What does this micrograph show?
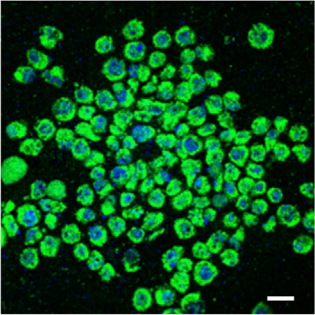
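Green staining fills the cytoplasm of nearly every cell, granular in texture and forming a broad rim around each nucleus. Blue nuclei sit roughly centrally, rounded, occupying a moderate part of each cell, so a green ring surrounds a blue core. Cells lie closely packed in the centre and more loosely at the edges of the field. One larger, brightly green rounded body lies at the left margin.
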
